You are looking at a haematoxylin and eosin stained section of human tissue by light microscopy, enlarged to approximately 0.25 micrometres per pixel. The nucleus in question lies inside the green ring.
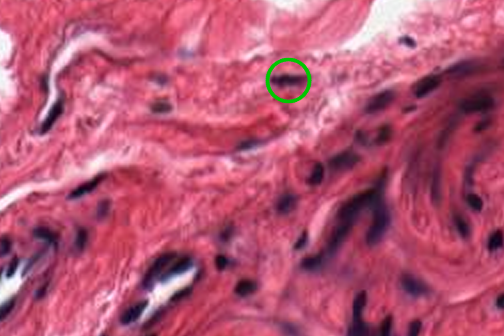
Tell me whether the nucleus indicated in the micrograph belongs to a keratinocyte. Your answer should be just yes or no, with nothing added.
no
